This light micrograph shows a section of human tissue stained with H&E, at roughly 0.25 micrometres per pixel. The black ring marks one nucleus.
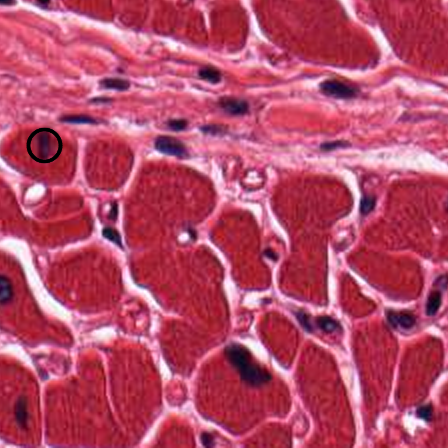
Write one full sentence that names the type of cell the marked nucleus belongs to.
The nucleus carrying the mark is the nucleus of a cardiomyocyte.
